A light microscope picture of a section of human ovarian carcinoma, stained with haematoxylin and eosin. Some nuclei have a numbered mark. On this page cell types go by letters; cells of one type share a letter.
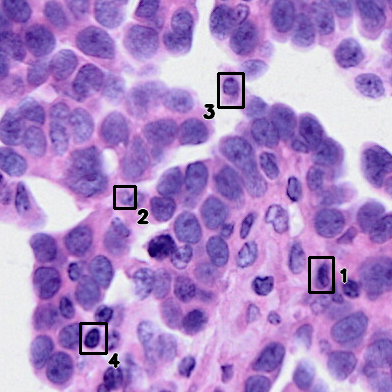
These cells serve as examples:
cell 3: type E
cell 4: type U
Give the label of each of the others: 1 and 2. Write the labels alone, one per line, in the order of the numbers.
type U
type E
